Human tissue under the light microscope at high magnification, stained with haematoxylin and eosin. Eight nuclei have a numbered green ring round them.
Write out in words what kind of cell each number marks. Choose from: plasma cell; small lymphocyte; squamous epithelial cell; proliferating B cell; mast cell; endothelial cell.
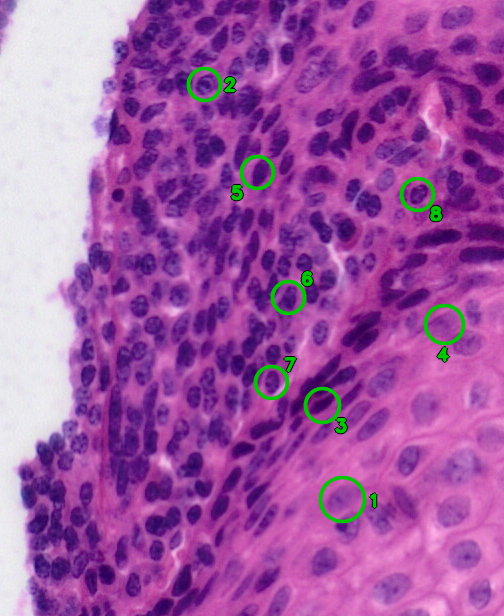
Cell 1 is a squamous epithelial cell, cell 2 is a plasma cell, cell 3 is a squamous epithelial cell, cell 4 is a squamous epithelial cell, cell 5 is a squamous epithelial cell, cell 6 is a plasma cell, cell 7 is a plasma cell and cell 8 is a plasma cell.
